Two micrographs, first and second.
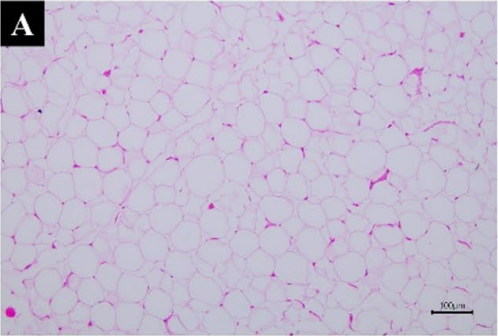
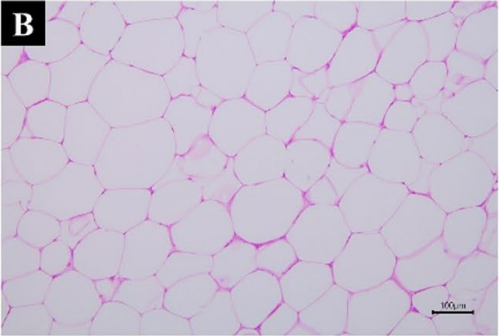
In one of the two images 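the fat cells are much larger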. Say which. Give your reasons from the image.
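The second image. Second image: fewer, much larger fat cells, many about as wide as the scale bar or wider.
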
